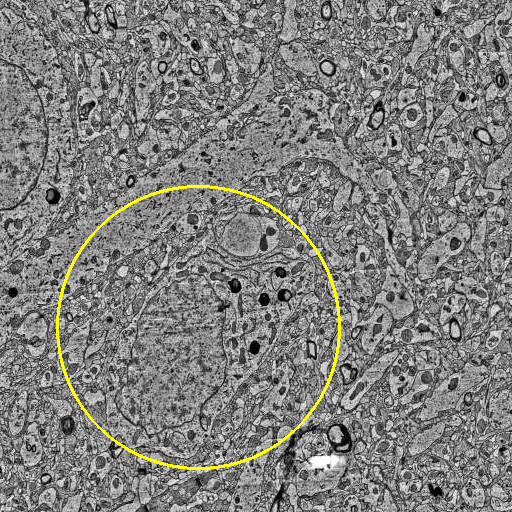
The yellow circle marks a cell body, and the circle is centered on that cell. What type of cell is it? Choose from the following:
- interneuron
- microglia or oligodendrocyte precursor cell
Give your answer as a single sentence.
This cell body belongs to an interneuron.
